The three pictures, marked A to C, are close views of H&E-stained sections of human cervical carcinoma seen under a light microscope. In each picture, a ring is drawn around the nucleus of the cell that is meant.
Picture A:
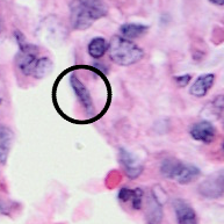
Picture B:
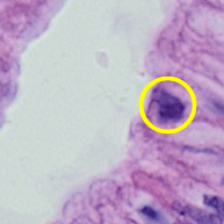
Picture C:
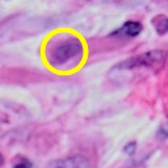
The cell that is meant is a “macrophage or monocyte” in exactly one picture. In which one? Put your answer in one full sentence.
The picture with the “macrophage or monocyte” is C.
